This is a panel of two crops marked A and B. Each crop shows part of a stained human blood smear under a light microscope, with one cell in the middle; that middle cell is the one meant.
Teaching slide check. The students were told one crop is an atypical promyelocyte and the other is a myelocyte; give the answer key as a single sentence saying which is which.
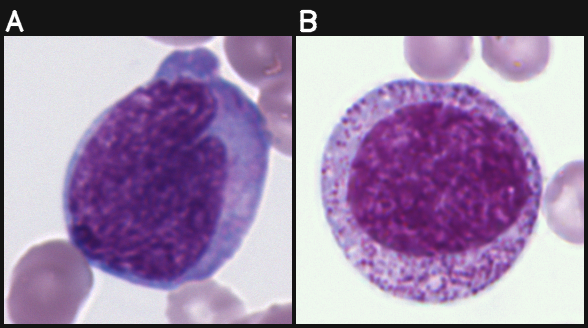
Crop A is identified as an atypical promyelocyte, and crop B is identified as a myelocyte.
